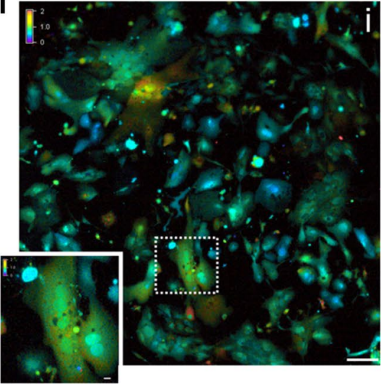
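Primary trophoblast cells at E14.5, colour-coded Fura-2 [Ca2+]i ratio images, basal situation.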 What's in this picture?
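Many cells are small and rounded, appearing as compact blue to turquoise spots scattered across the field. Among them lie much larger, flat, irregularly outlined cells that spread widely over the dish. Some of these large cells take on a greenish to yellow-orange tint, whereas most small cells stay blue. The dotted box, enlarged in the inset, frames one such large spread cell bordered by smaller round cells.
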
